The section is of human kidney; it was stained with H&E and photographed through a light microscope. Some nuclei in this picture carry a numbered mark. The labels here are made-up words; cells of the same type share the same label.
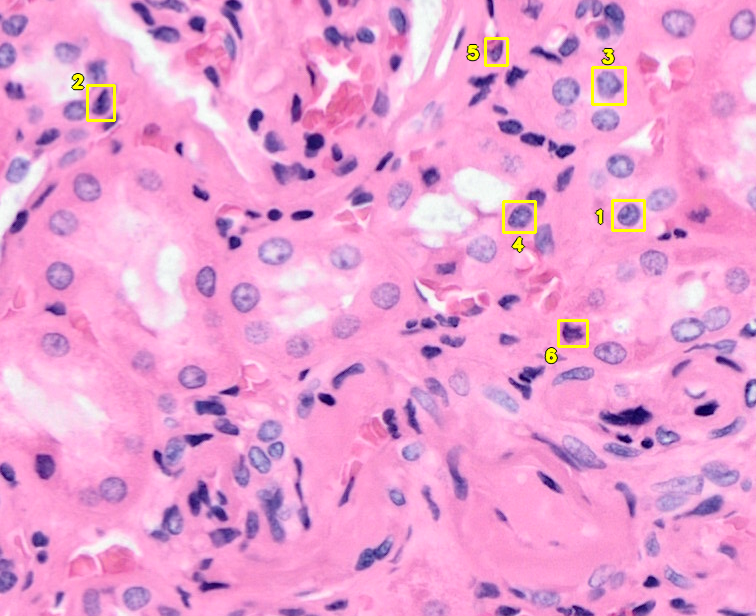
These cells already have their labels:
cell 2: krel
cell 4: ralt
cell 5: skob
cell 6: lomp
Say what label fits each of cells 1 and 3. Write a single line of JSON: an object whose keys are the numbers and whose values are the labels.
{"1": "krel", "3": "ralt"}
